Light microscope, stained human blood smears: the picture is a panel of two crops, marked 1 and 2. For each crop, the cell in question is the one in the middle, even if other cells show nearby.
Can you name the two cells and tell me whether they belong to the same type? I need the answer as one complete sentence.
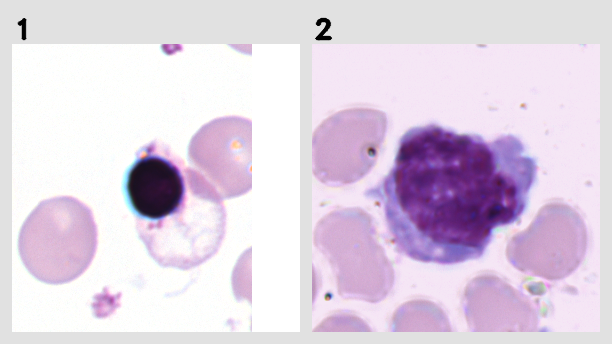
No, it is crop 1 that shows a normoblast, and crop 2 that shows a plasma cell.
